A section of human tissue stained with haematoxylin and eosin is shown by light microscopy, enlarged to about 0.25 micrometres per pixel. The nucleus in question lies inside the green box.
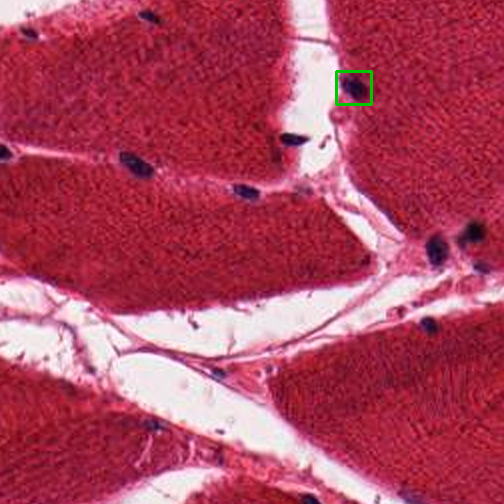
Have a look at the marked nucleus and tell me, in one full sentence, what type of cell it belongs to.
The nucleus indicated by the mark belongs to a skeletal muscle fibre.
